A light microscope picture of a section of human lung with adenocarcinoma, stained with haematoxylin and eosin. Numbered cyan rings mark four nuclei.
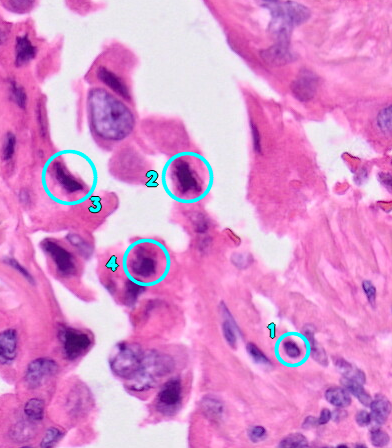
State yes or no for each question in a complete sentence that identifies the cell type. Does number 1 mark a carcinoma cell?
No, the cell tagged 1 is a lymphocyte, and not a carcinoma cell.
